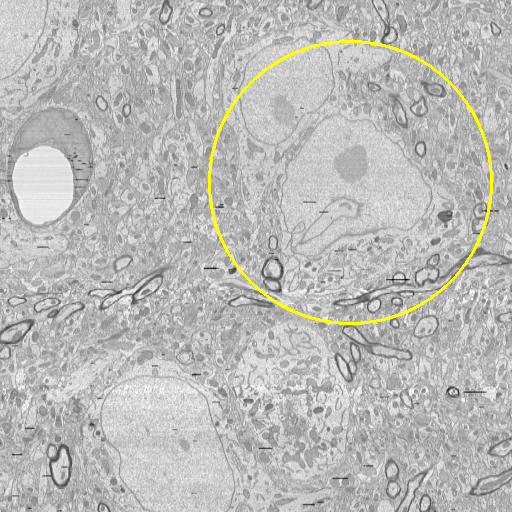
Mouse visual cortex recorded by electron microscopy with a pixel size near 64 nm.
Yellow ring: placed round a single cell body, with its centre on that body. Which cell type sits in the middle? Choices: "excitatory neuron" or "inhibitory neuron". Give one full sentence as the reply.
It is an inhibitory neuron whose cell body sits at the centre of the yellow ring.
